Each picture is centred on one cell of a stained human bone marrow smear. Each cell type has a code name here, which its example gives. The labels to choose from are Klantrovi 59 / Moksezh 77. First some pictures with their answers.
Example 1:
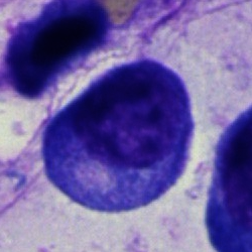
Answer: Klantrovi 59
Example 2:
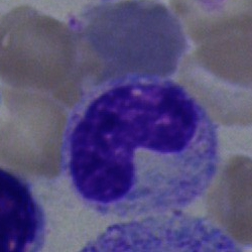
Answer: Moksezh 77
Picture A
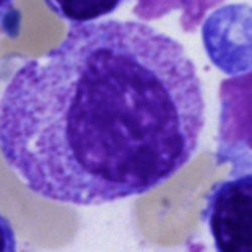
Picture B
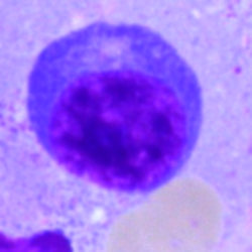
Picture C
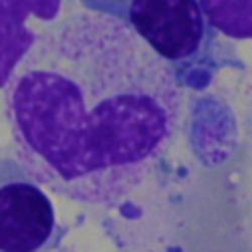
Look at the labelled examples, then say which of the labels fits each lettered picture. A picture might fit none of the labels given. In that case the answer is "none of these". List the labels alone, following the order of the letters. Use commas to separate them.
none of these, Klantrovi 59, Moksezh 77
